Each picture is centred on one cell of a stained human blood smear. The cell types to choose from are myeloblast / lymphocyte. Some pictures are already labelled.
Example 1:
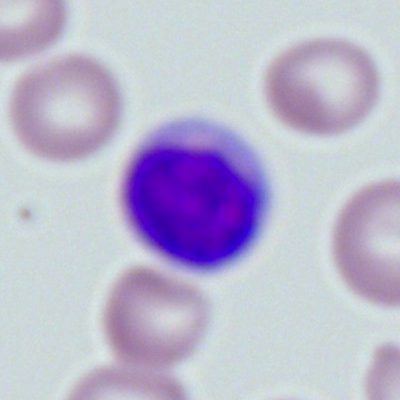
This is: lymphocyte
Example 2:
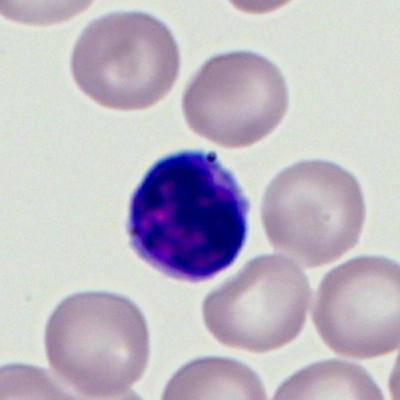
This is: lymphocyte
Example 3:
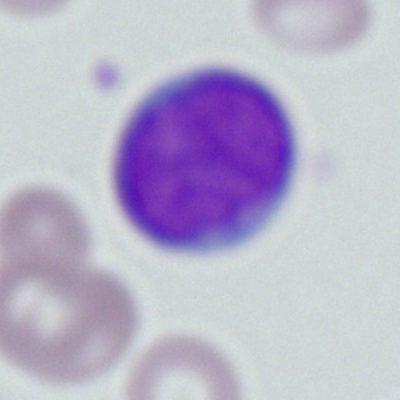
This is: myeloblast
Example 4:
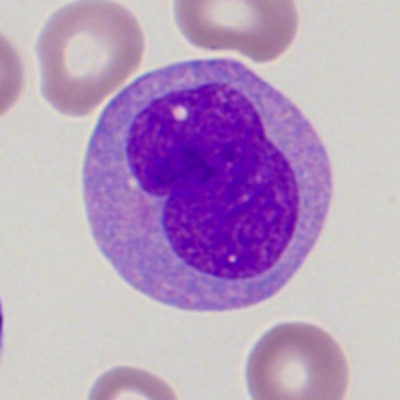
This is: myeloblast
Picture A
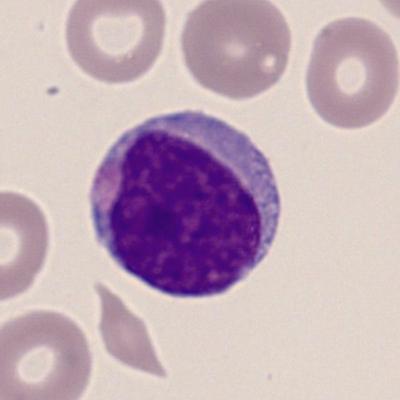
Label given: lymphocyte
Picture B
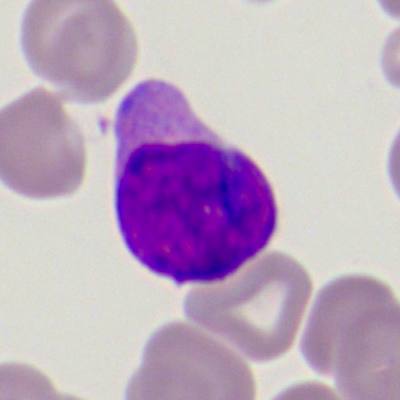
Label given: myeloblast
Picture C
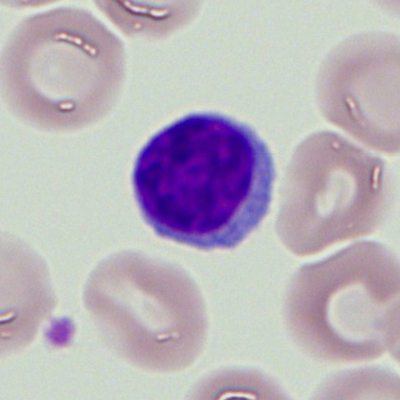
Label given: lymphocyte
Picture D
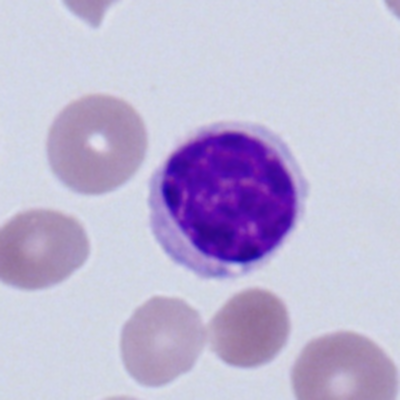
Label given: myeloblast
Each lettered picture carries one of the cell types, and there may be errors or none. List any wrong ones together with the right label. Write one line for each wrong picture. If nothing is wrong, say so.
Wrong: A (lymphocyte); correct: myeloblast
Wrong: D (myeloblast); correct: lymphocyte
